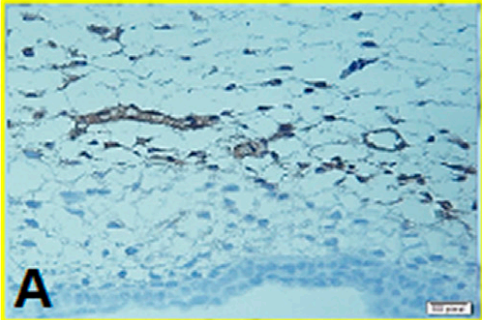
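Brown-stained elongated cells line several small channel-like spaces and scattered branching cells in the upper part of the field. The lower part holds denser rows of blue-counterstained nuclei without brown stain.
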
